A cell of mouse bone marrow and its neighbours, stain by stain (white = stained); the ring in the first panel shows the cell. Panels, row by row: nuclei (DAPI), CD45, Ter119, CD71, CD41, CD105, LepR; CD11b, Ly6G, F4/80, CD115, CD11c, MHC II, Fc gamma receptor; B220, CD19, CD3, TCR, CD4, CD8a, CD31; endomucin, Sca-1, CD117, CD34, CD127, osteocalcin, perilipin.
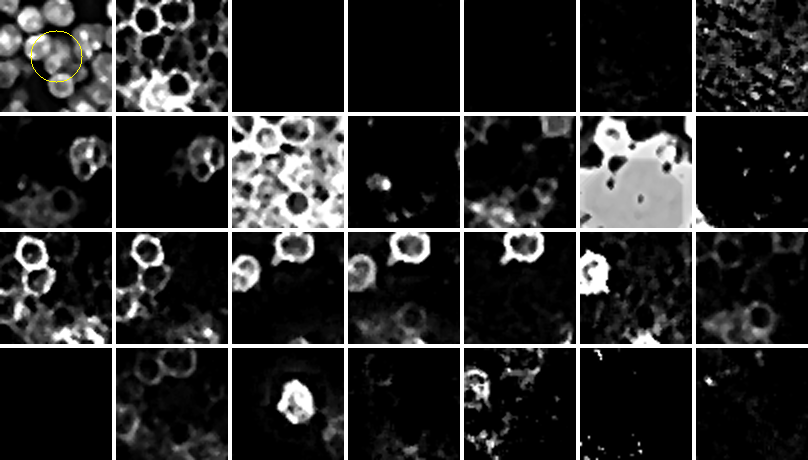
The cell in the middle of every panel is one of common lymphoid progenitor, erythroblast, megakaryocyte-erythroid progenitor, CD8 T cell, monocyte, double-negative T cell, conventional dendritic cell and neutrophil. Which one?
megakaryocyte-erythroid progenitor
